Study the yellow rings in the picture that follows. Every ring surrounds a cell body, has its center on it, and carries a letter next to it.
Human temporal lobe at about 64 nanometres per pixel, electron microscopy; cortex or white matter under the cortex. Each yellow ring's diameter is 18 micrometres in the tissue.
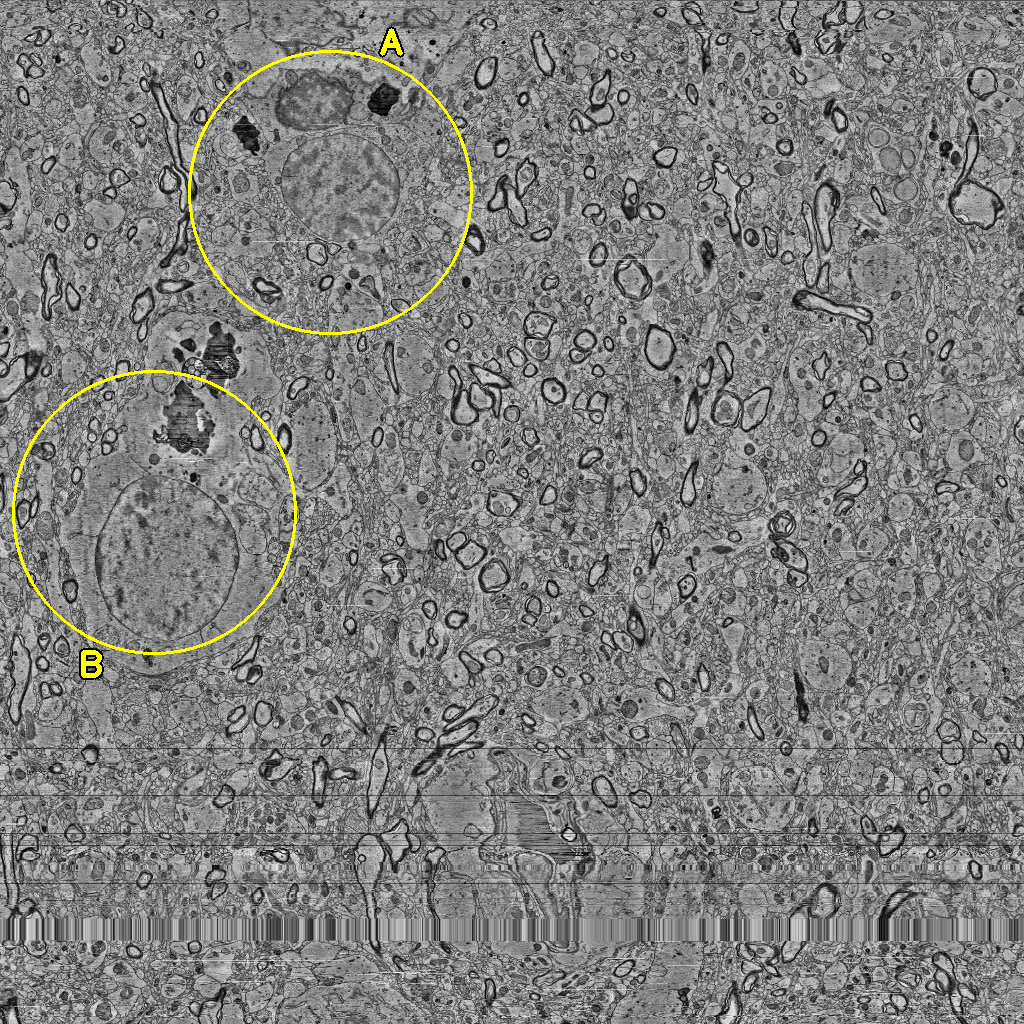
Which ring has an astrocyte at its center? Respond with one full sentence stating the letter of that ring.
The ring centered on the cell asked for carries the letter B.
